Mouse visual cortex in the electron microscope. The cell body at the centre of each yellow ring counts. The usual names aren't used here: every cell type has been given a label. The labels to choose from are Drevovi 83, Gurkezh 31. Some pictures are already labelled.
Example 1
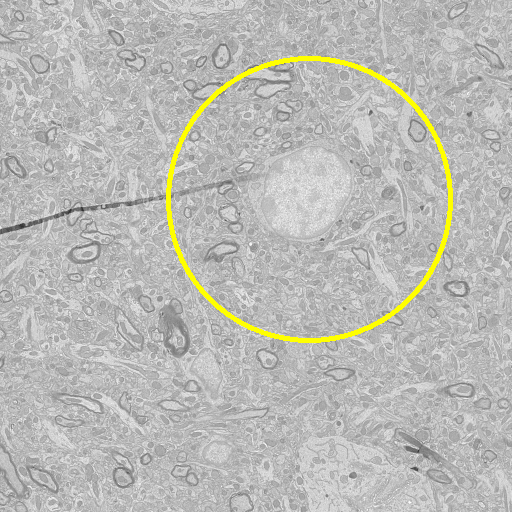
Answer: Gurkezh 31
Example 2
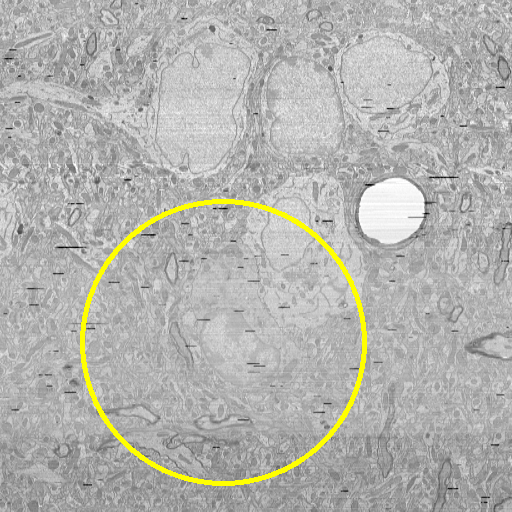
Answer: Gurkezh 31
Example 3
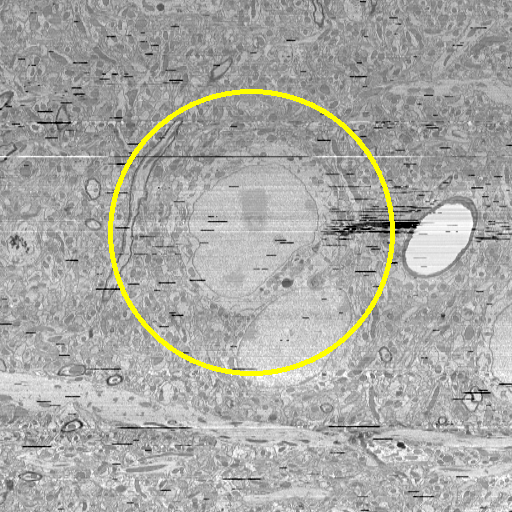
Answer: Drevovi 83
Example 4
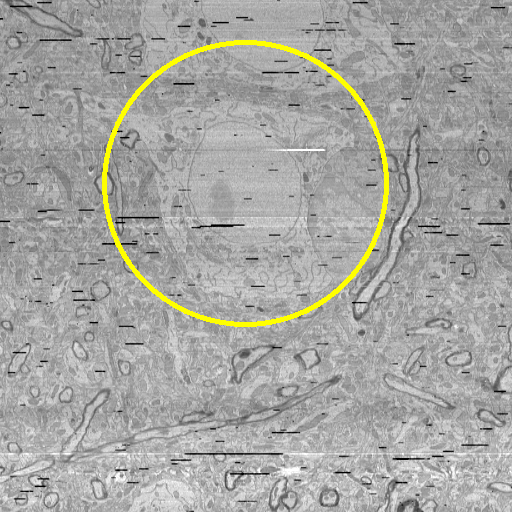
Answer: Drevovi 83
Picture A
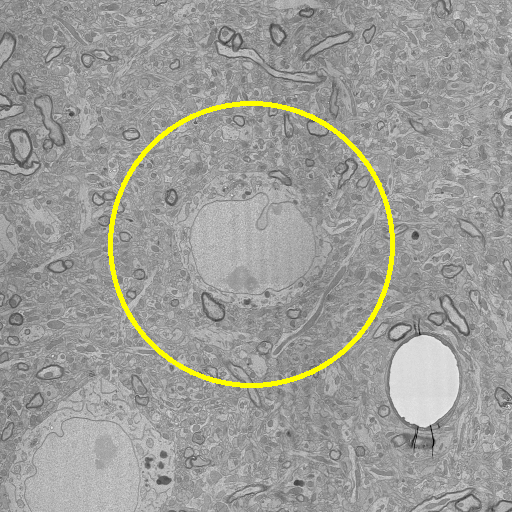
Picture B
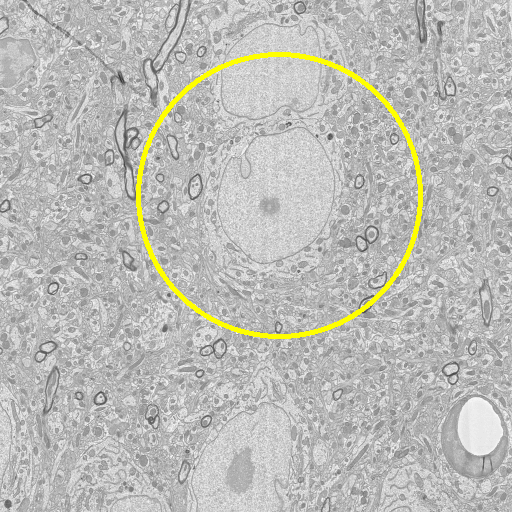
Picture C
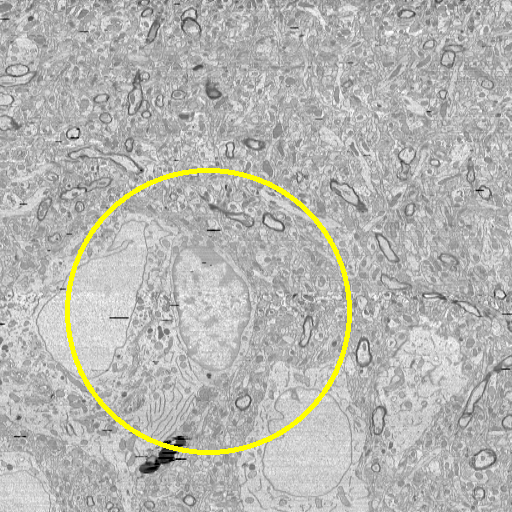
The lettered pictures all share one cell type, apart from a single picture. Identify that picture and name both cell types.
Odd one out: C (Gurkezh 31). The rest: Drevovi 83.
